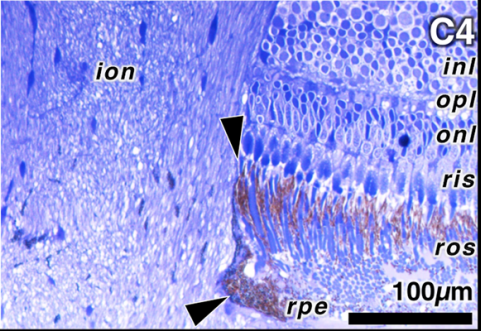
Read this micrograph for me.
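At the nerve border a short wedge of brown pigment extends from the pigment epithelium along the nerve edge, reaching about as far as the outer segments. The nerve tissue itself shows no pigmented strands within it.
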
